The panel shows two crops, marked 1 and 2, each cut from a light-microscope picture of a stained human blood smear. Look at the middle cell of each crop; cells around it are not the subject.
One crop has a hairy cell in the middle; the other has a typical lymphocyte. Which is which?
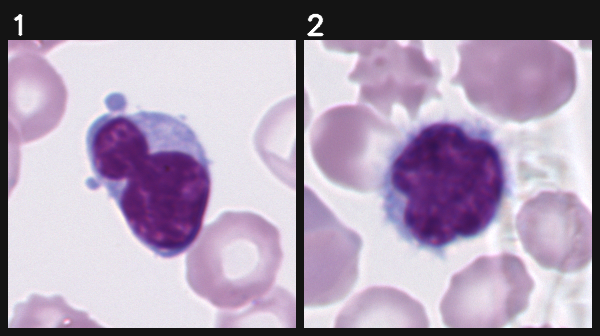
1: typical lymphocyte
2: hairy cell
